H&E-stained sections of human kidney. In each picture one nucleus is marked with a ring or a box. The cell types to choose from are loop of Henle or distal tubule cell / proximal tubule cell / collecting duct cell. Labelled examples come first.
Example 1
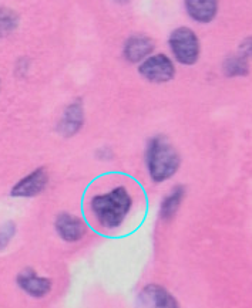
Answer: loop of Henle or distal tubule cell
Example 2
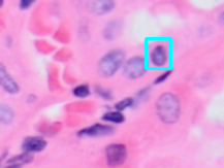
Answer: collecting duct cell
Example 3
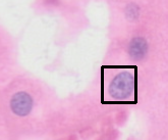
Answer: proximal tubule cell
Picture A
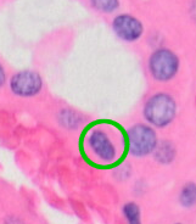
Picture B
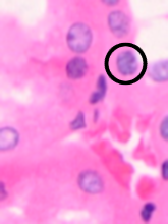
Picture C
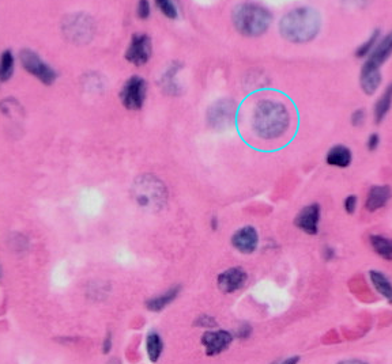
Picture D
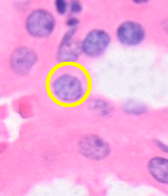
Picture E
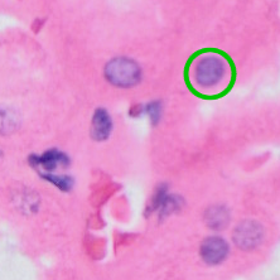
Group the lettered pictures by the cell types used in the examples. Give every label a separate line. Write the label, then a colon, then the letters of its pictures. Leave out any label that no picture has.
loop of Henle or distal tubule cell: B, C, D
proximal tubule cell: E
collecting duct cell: A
